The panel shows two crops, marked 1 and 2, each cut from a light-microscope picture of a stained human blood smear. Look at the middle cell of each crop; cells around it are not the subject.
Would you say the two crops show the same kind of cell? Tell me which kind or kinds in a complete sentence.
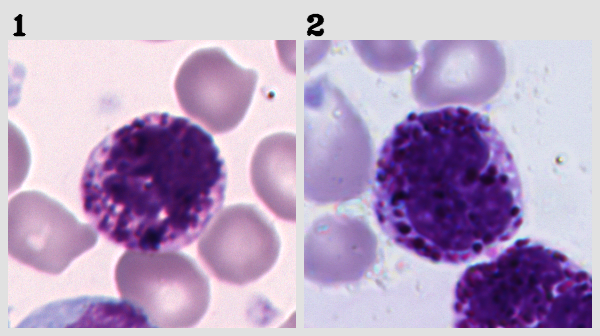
Yes, for both crops, the central cells are basophils.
